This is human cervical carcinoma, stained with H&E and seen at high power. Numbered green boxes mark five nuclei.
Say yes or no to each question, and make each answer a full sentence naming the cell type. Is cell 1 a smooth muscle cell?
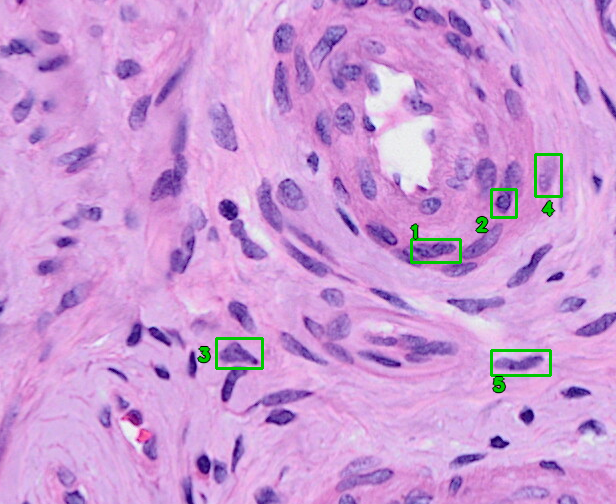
Yes, the cell referred to as number 1 is a smooth muscle cell.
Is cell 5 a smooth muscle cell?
No, cell 5 isn't a smooth muscle cell; it's a fibroblast.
